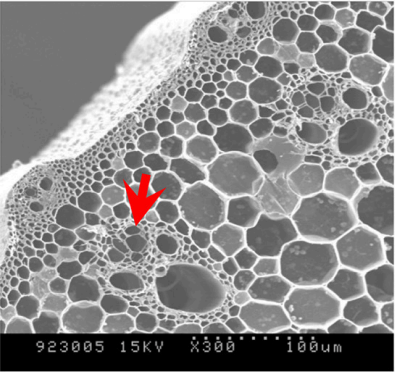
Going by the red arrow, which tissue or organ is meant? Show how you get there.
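The red arrow points to a group of small cells beside large rounded open cells. Surrounding tissue consists of larger polygonal cells.
Conclusion: phloem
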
